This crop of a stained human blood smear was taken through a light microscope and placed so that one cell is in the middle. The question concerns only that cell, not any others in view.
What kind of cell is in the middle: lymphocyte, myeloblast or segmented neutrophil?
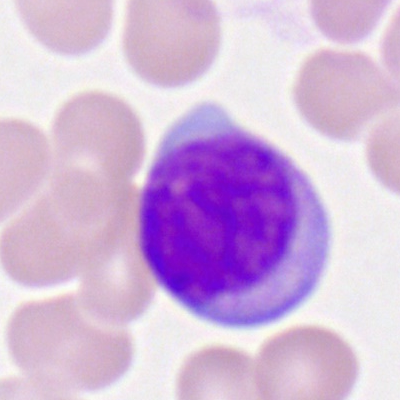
myeloblast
